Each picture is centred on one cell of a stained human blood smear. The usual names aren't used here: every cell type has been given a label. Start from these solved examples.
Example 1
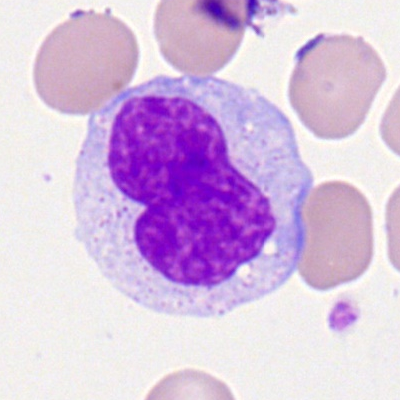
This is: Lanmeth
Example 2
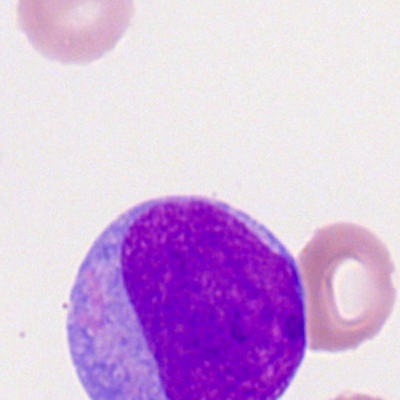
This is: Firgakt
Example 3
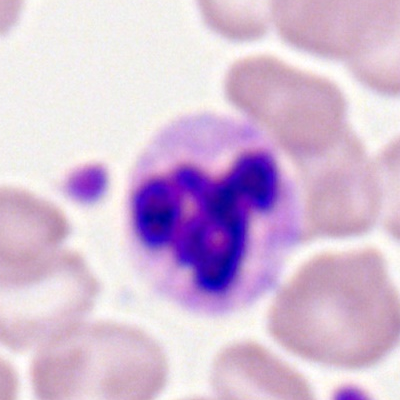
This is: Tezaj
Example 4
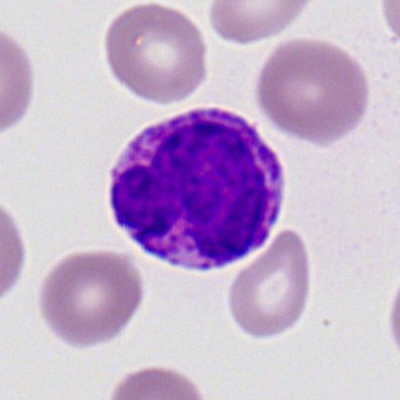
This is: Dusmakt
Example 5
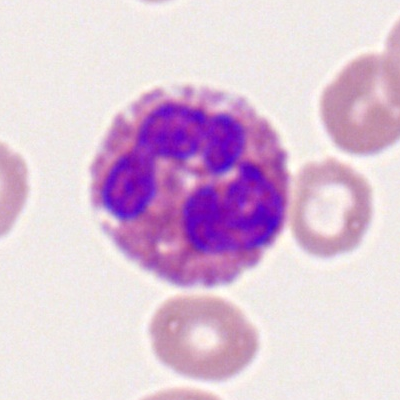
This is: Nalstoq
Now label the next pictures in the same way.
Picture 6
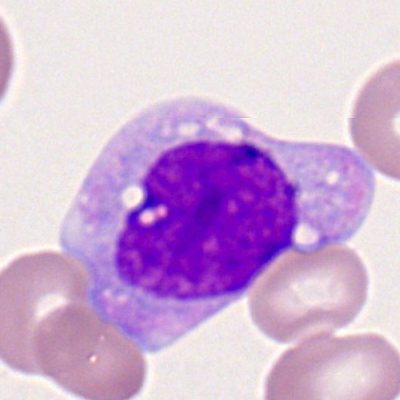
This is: Lanmeth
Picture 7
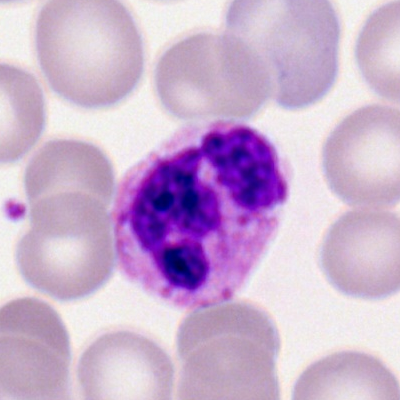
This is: Dusmakt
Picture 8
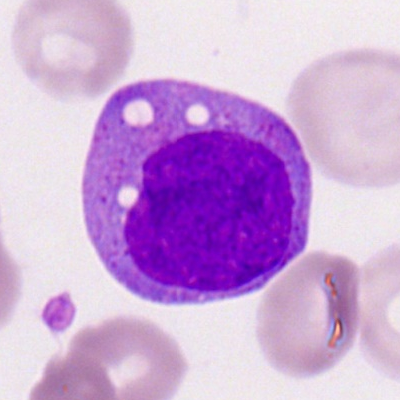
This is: Firgakt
